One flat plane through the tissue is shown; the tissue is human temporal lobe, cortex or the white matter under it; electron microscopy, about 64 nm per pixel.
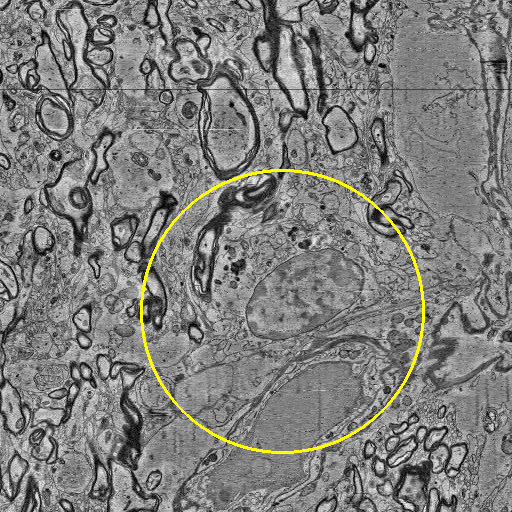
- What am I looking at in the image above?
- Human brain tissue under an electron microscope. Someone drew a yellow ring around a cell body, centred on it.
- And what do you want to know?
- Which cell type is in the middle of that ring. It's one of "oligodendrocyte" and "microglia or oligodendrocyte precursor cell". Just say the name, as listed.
microglia or oligodendrocyte precursor cell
